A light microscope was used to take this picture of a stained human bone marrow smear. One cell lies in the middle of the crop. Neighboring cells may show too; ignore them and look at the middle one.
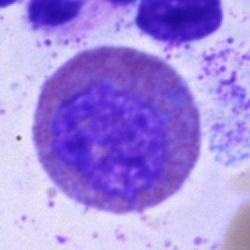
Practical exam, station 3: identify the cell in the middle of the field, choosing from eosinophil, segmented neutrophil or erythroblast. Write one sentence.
The cell under consideration, at the middle of the crop, is an eosinophil.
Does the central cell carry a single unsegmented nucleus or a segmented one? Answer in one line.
Key feature: a single compact nucleus, round, oval or kidney-shaped.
